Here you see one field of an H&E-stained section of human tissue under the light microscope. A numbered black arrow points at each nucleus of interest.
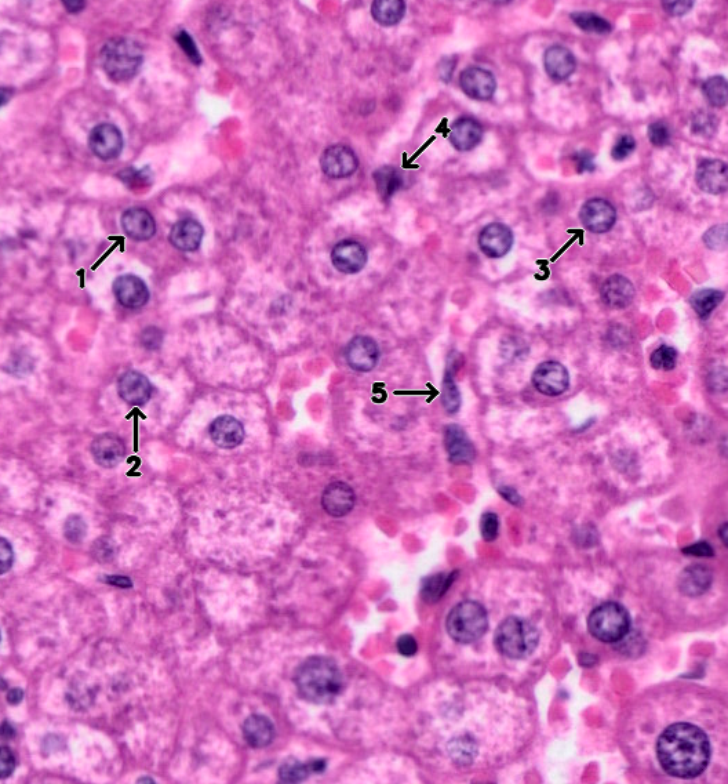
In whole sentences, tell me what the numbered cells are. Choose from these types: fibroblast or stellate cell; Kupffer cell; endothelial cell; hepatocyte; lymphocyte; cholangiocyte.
Cells 1, 2 and 3 are hepatocytes. Cell 4 is an endothelial cell. Cell 5 is a Kupffer cell.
